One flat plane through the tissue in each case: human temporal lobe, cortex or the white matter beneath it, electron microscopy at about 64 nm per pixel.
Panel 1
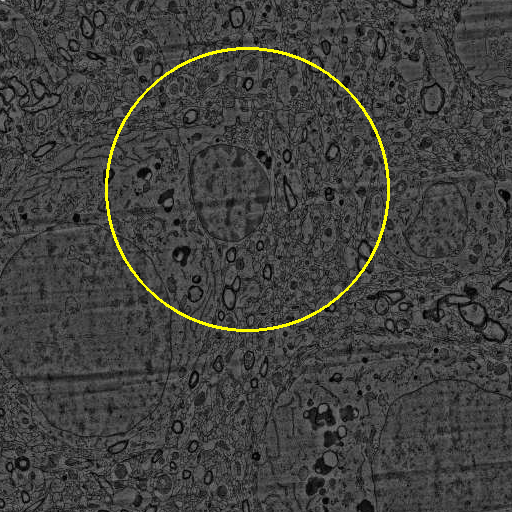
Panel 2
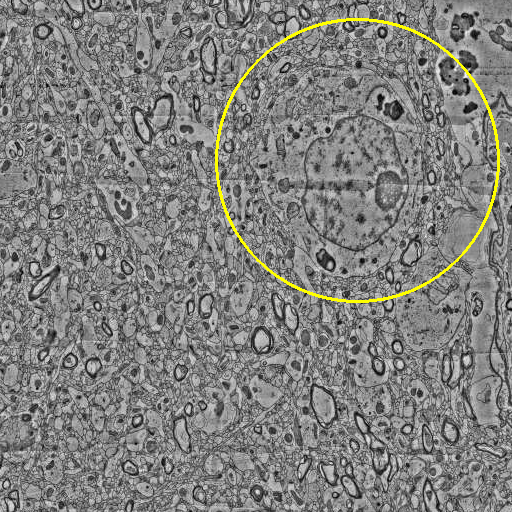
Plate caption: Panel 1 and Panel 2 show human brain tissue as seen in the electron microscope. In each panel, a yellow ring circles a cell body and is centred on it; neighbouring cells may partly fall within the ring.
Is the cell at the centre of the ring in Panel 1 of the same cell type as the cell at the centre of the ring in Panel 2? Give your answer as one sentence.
No, the two cells are of two types.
